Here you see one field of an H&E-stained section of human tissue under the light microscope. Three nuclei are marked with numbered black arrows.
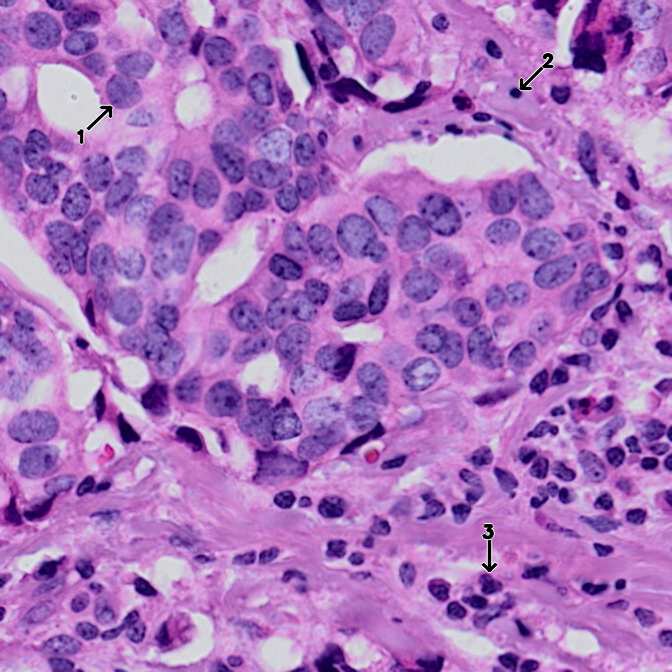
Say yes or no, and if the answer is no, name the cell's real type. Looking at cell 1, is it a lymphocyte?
No, it is a carcinoma cell.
